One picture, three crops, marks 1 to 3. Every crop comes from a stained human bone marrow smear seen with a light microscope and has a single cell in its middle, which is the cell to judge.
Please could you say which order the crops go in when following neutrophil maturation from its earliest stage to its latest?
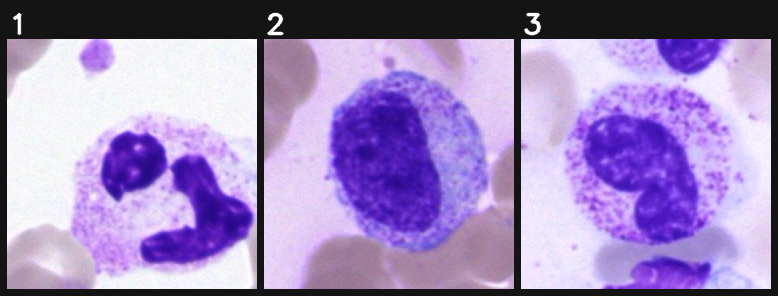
2, 3, 1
